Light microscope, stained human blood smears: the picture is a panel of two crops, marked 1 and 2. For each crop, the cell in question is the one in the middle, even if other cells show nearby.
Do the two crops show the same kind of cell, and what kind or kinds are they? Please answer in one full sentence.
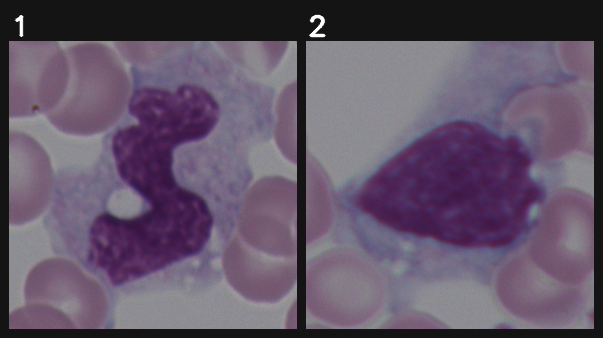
Yes, both crops show monocytes, and that holds for each one.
